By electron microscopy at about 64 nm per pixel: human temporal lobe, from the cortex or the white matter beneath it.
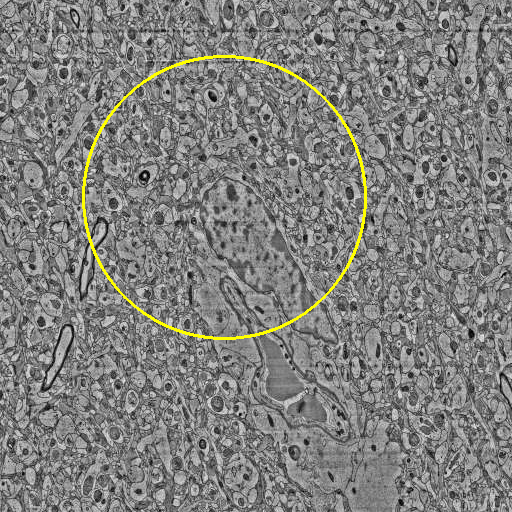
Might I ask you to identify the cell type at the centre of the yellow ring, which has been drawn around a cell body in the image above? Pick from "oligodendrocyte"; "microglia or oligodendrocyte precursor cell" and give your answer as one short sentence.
The centre of the ring falls on a microglial cell or oligodendrocyte precursor cell.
